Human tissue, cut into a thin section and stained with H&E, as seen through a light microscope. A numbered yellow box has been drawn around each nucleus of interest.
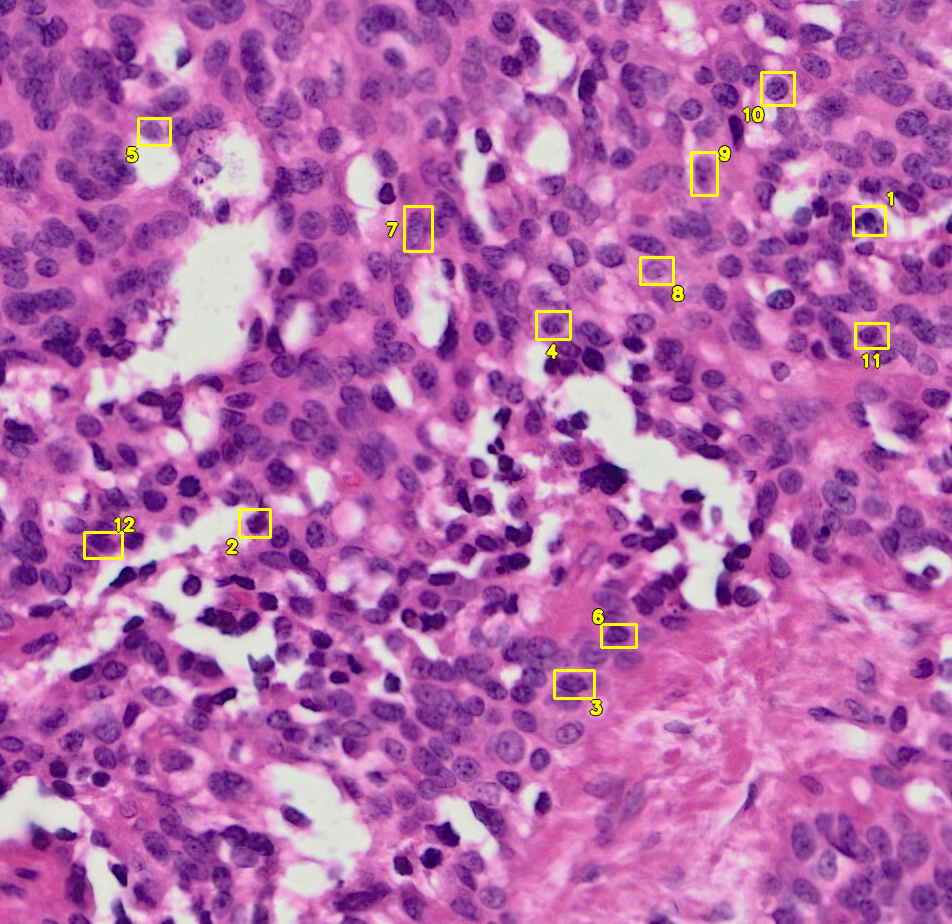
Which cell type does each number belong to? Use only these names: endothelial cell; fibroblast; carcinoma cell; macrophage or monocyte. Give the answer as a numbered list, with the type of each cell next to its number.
1. macrophage or monocyte
2. carcinoma cell
3. carcinoma cell
4. macrophage or monocyte
5. macrophage or monocyte
6. carcinoma cell
7. endothelial cell
8. macrophage or monocyte
9. macrophage or monocyte
10. macrophage or monocyte
11. macrophage or monocyte
12. carcinoma cell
